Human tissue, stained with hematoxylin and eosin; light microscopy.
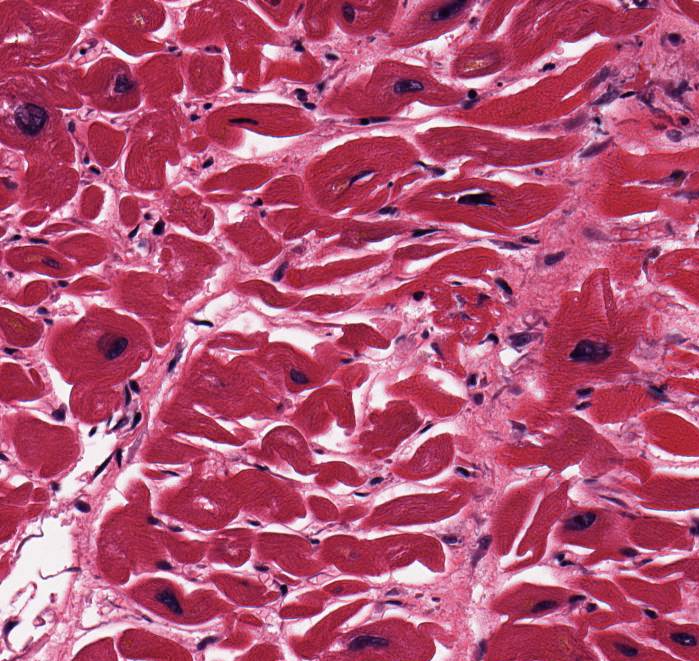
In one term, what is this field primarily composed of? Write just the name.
myocardium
